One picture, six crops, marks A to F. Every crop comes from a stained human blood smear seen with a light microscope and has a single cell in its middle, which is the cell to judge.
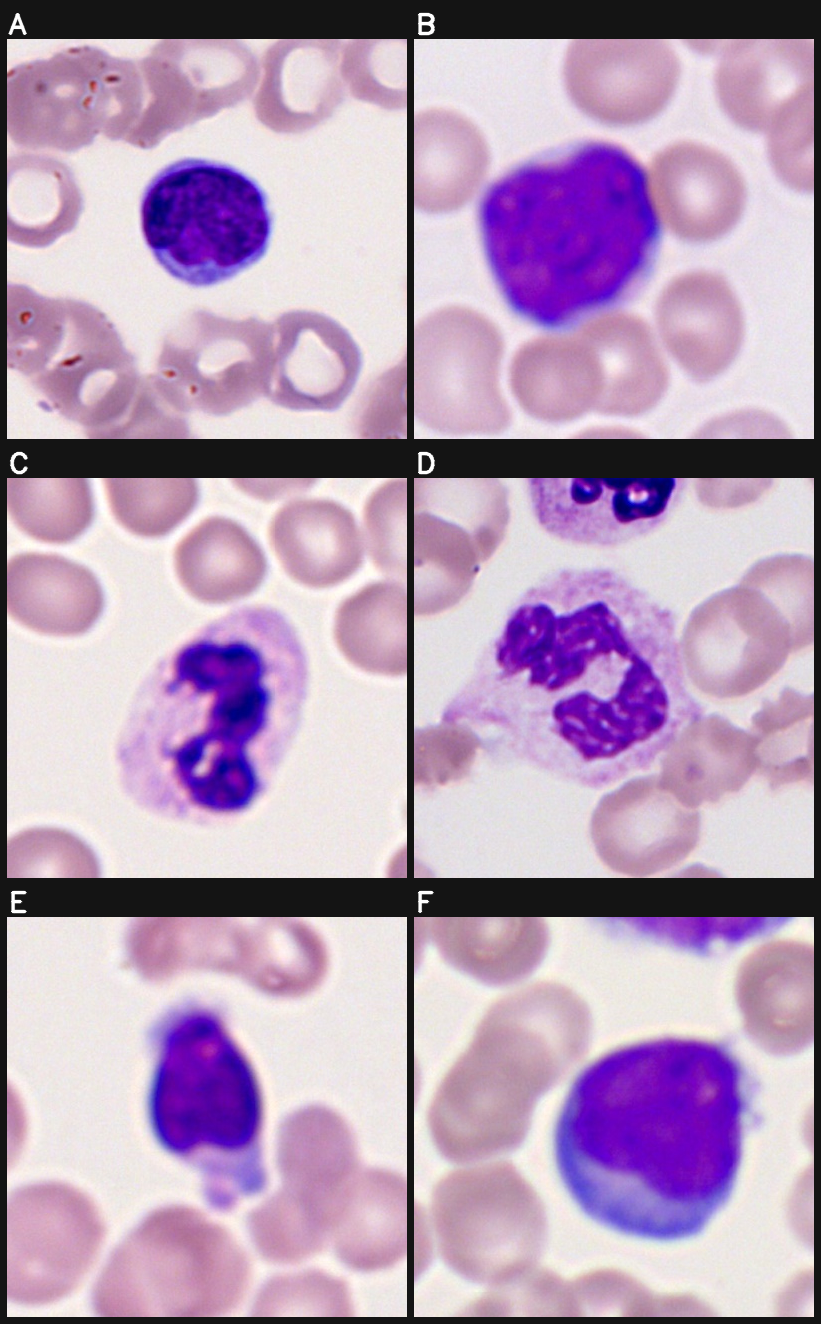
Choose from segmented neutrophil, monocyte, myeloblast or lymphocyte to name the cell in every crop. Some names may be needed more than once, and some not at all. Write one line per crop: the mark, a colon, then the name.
A: lymphocyte
B: myeloblast
C: segmented neutrophil
D: segmented neutrophil
E: lymphocyte
F: myeloblast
